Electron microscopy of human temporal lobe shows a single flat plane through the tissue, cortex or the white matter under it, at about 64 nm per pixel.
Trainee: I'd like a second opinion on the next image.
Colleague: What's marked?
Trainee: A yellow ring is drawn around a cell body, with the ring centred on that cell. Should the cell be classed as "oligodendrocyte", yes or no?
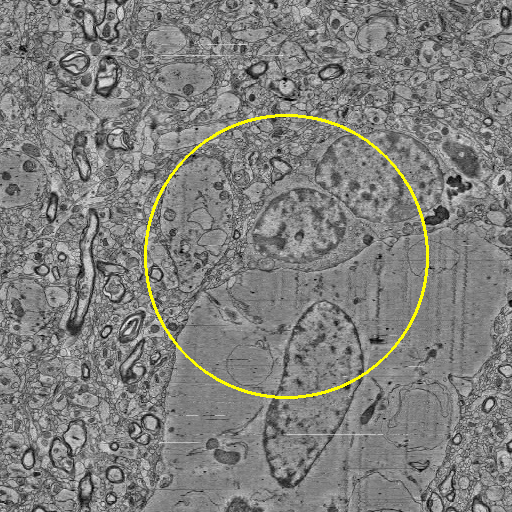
Yes, it should.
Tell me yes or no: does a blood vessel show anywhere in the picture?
Yes, a blood vessel shows in the picture.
